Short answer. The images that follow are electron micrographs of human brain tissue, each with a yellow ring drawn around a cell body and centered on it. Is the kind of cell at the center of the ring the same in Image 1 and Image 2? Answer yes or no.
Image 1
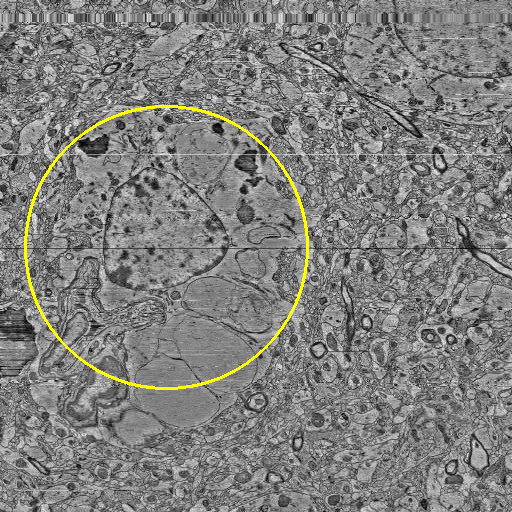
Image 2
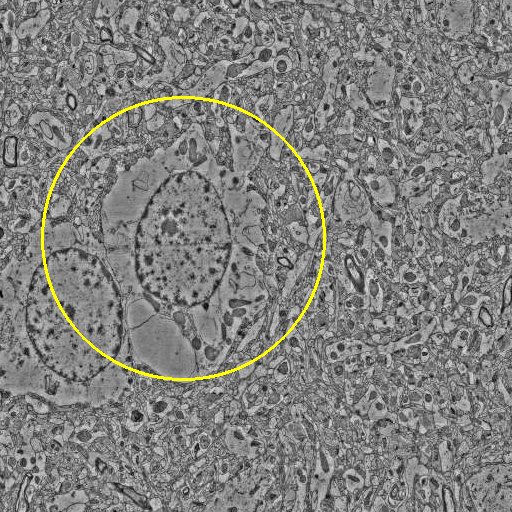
yes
